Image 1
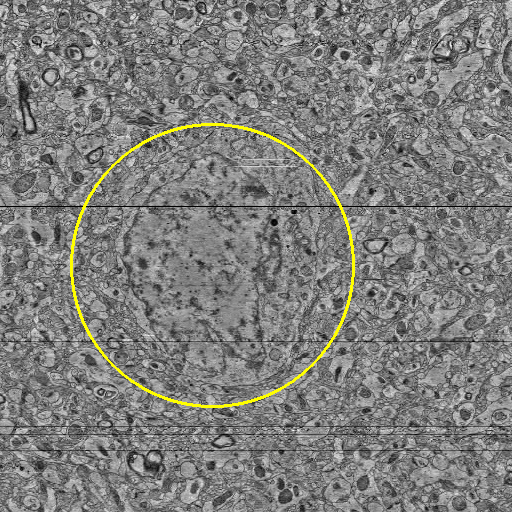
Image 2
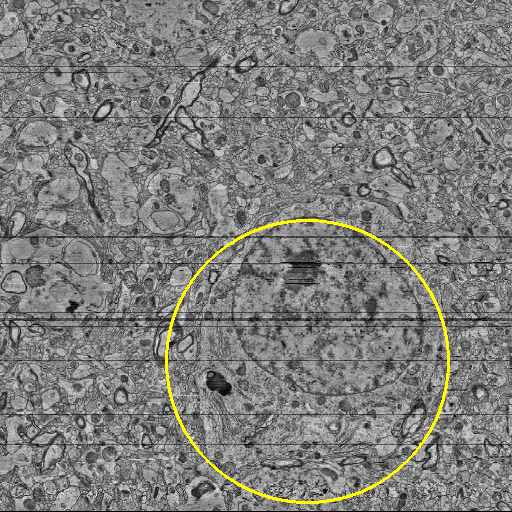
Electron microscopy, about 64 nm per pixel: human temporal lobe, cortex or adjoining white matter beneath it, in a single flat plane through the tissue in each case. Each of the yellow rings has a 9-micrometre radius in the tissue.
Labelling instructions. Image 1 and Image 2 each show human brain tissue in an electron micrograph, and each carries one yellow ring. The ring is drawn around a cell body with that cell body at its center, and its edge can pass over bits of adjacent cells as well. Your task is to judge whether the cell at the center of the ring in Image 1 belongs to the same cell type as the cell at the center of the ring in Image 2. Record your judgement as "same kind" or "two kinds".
same kind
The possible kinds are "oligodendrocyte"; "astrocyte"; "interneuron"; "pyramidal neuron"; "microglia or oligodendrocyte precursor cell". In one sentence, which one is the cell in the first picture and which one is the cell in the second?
Each of the two cells is an interneuron.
